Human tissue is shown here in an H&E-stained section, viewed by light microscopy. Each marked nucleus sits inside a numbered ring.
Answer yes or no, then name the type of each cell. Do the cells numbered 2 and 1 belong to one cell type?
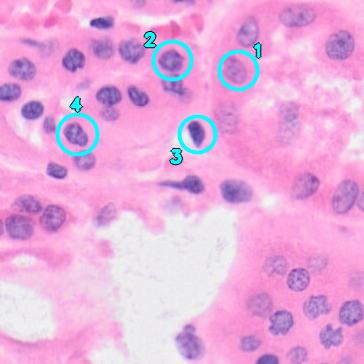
No, as to type, cell 2 is a collecting duct cell, and cell 1 is a proximal tubule cell.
